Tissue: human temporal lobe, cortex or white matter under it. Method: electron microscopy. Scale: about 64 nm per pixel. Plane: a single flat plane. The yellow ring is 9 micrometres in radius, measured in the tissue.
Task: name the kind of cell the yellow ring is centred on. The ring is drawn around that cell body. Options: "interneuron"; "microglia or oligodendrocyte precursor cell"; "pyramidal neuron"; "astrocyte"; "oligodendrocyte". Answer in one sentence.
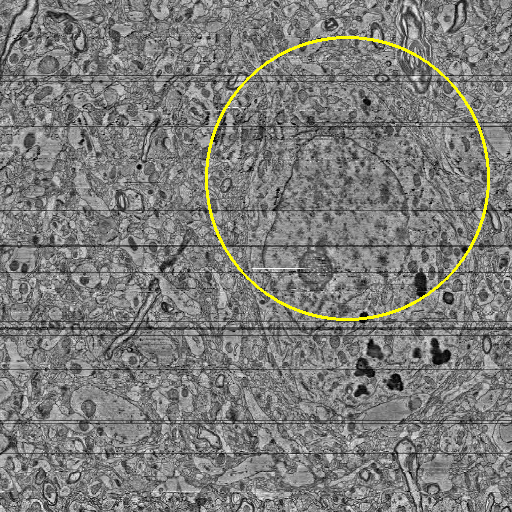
This cell body belongs to an interneuron.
